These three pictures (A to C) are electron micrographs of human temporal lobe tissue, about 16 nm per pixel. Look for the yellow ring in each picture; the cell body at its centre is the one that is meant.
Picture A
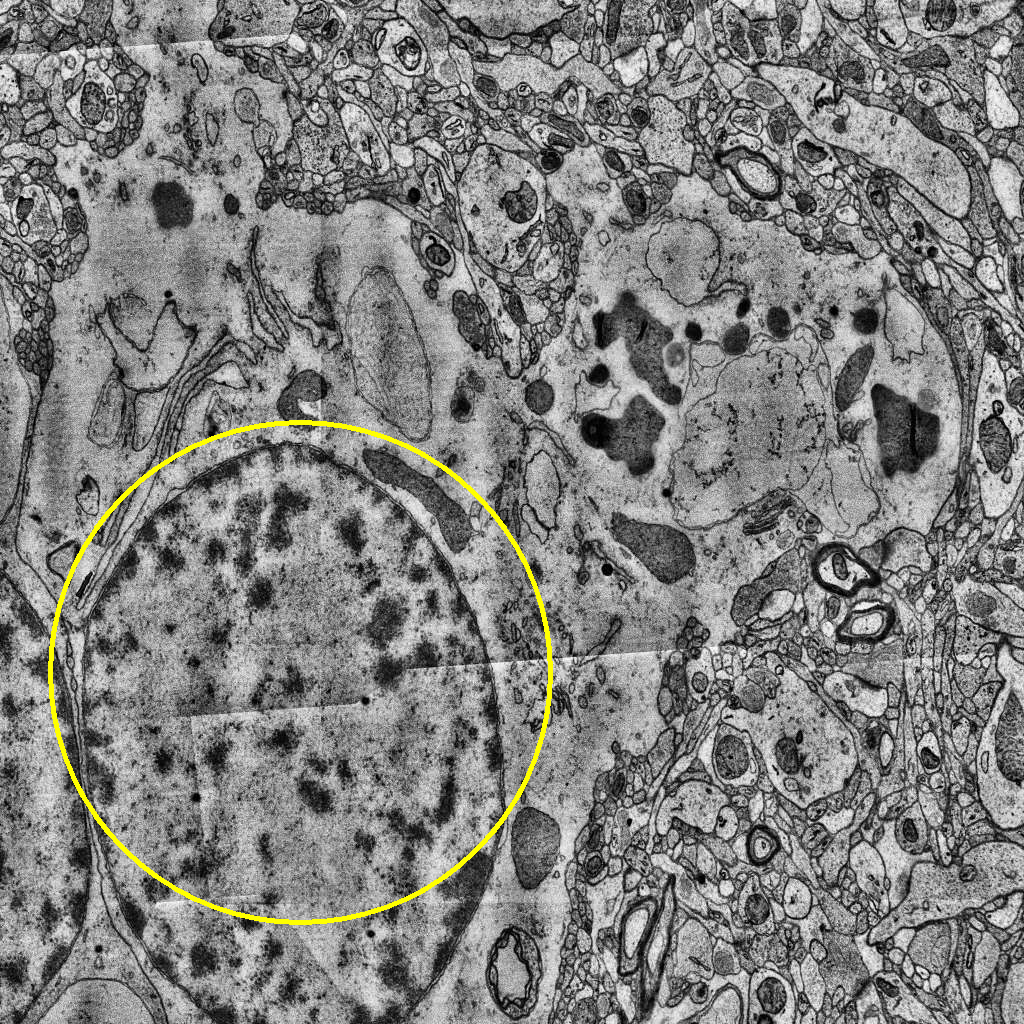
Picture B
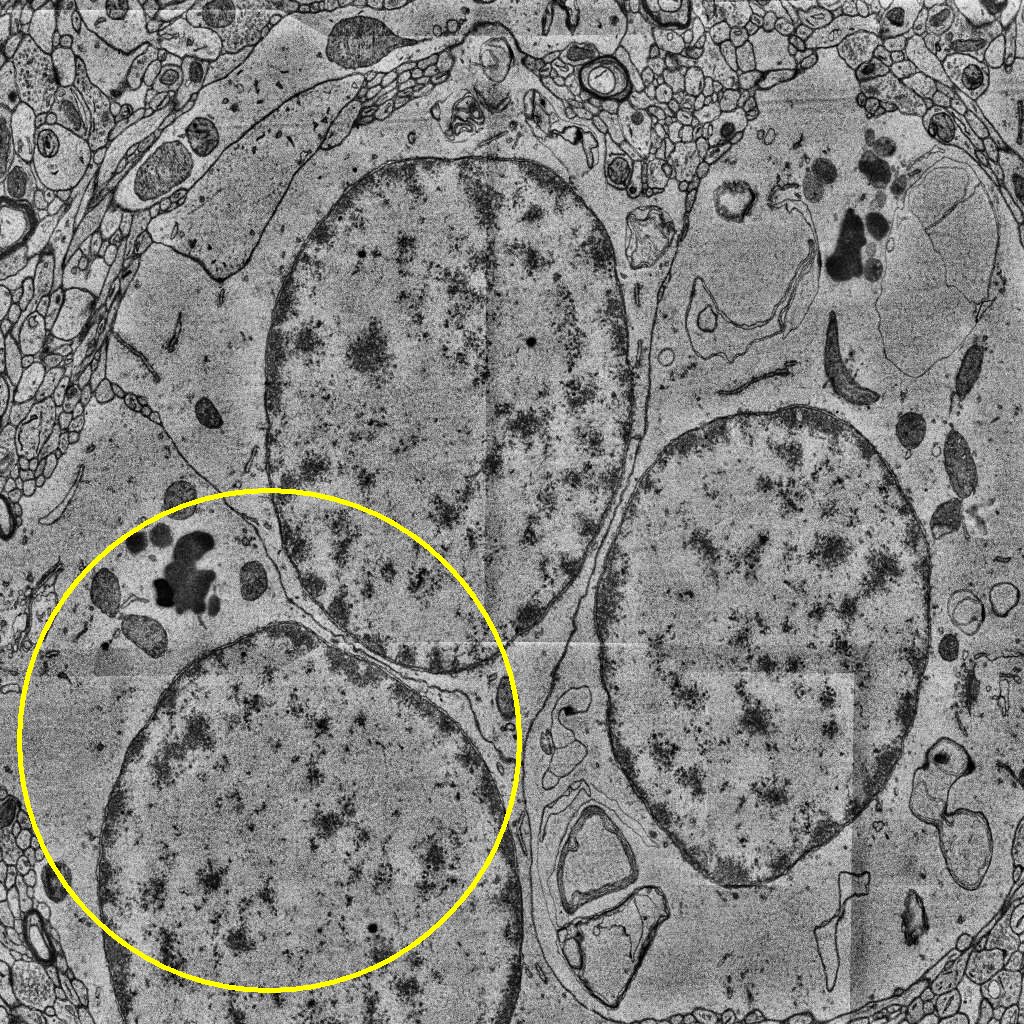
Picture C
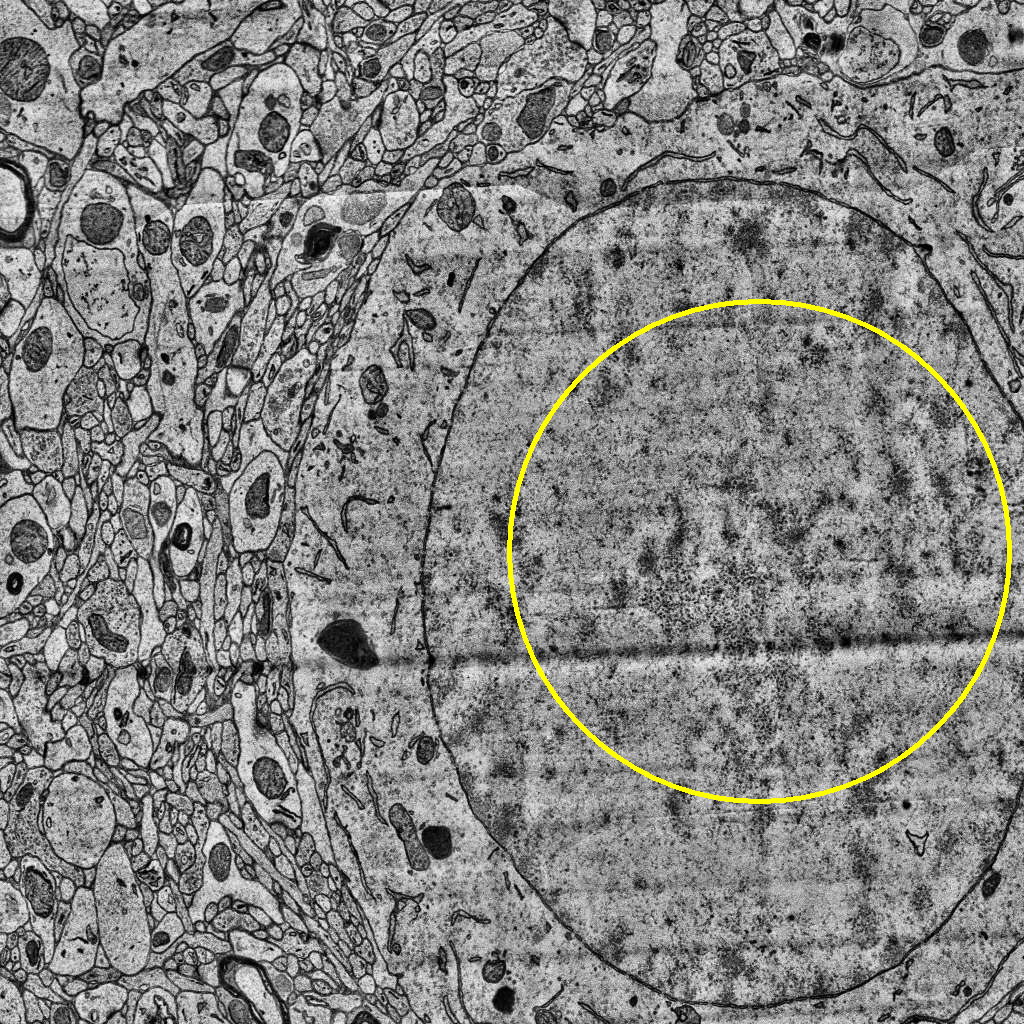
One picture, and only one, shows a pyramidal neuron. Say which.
It is picture C that shows the pyramidal neuron.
